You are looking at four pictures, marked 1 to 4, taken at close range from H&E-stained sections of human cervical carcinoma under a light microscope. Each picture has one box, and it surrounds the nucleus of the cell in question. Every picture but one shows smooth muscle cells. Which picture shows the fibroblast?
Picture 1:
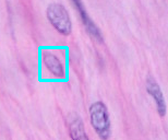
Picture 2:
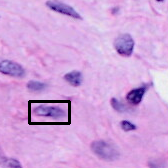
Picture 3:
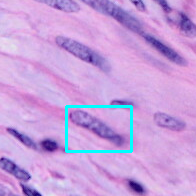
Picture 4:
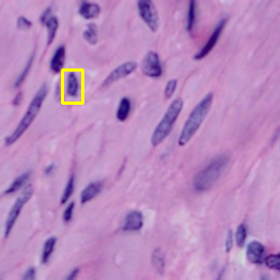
4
